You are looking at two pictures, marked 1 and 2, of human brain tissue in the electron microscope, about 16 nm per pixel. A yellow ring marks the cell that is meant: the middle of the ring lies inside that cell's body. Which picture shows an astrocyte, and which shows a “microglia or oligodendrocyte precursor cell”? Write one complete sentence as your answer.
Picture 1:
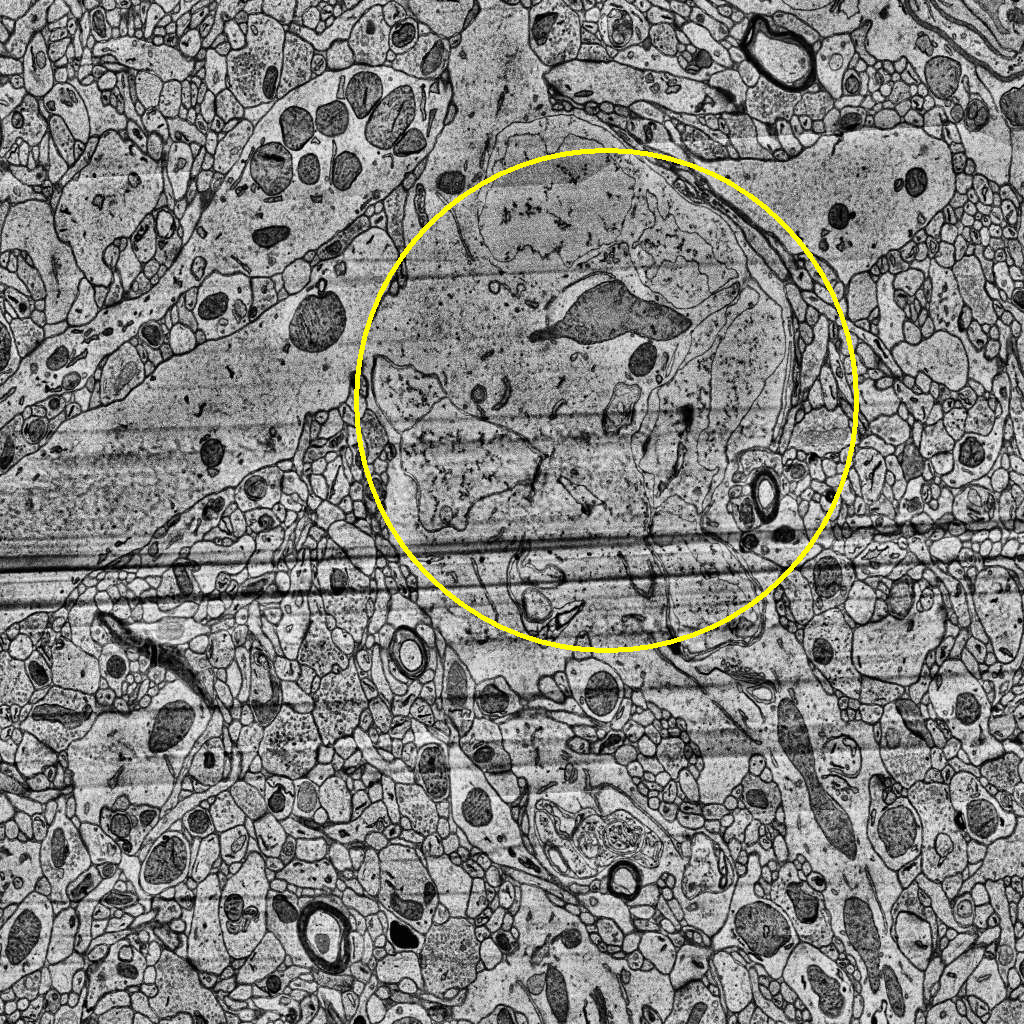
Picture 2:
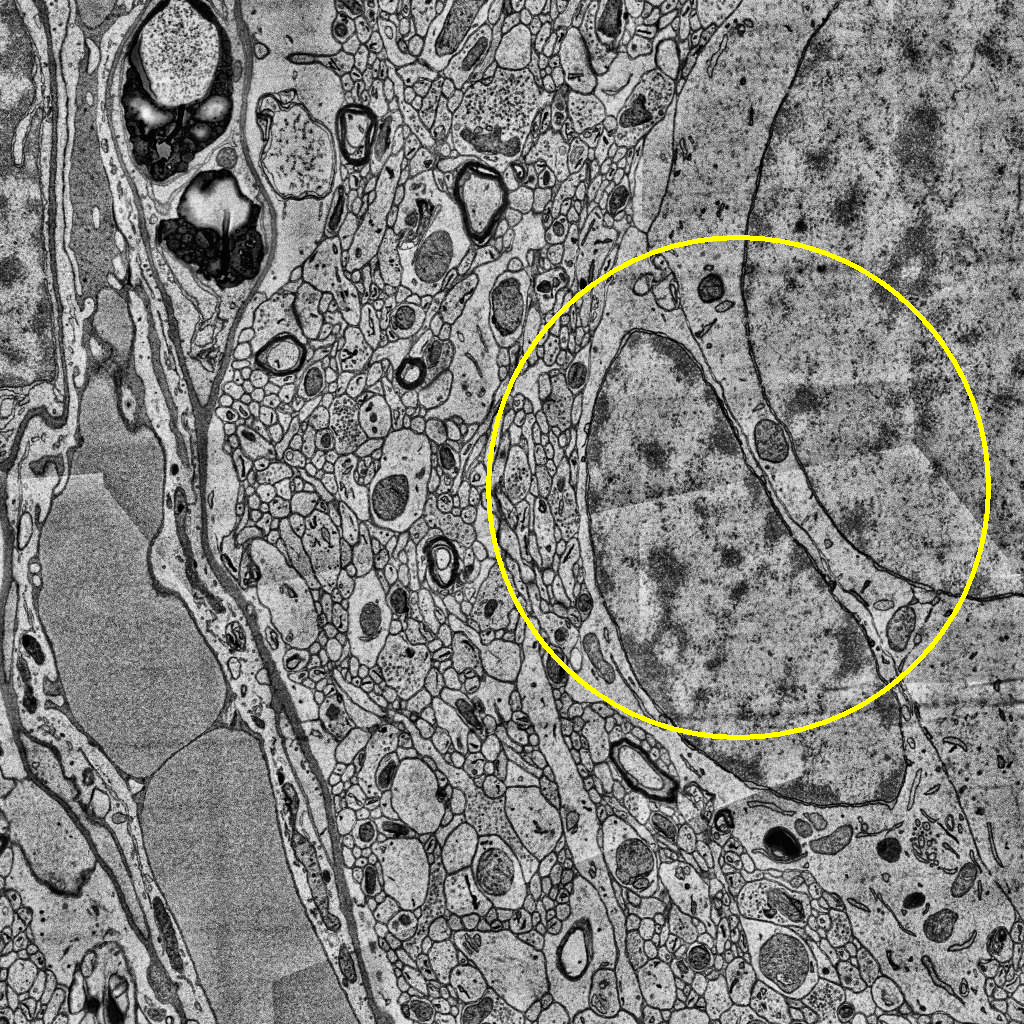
Picture 1 is of an astrocyte, and picture 2 is of a “microglia or oligodendrocyte precursor cell”.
